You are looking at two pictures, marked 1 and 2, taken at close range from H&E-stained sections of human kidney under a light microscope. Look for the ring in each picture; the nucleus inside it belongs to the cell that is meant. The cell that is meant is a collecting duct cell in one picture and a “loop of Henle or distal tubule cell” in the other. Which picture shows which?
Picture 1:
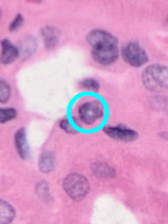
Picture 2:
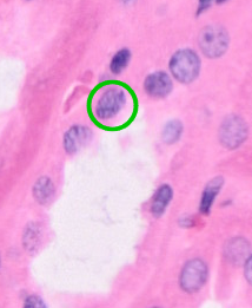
1: collecting duct cell
2: loop of Henle or distal tubule cell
